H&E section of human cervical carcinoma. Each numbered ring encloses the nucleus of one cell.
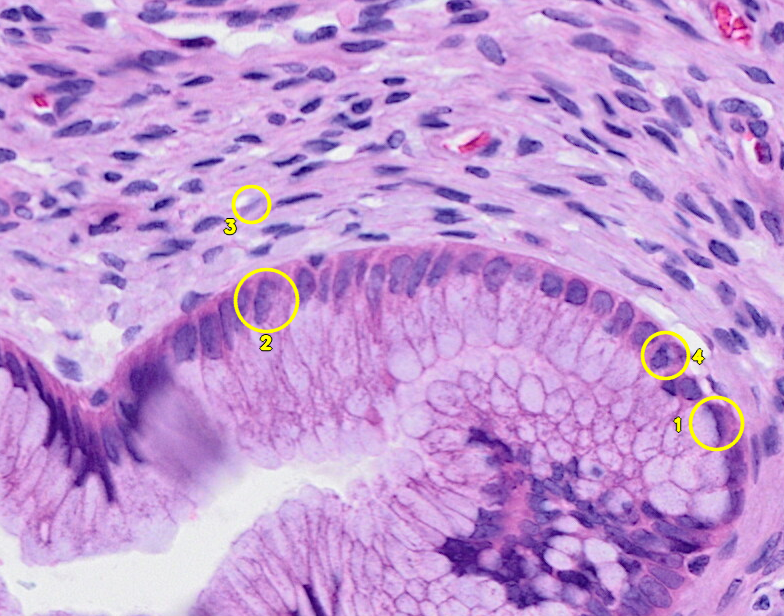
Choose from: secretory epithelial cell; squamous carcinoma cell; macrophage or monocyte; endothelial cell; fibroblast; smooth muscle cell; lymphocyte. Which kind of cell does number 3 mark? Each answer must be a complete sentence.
Heads up, the cell numbered 3 is a fibroblast.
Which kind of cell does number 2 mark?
The cell carrying label 2 is identified as a secretory epithelial cell.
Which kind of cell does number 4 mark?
Cell 4 should be recorded as a secretory epithelial cell.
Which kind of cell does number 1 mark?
To a secretory epithelial cell belongs the nucleus marked 1.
